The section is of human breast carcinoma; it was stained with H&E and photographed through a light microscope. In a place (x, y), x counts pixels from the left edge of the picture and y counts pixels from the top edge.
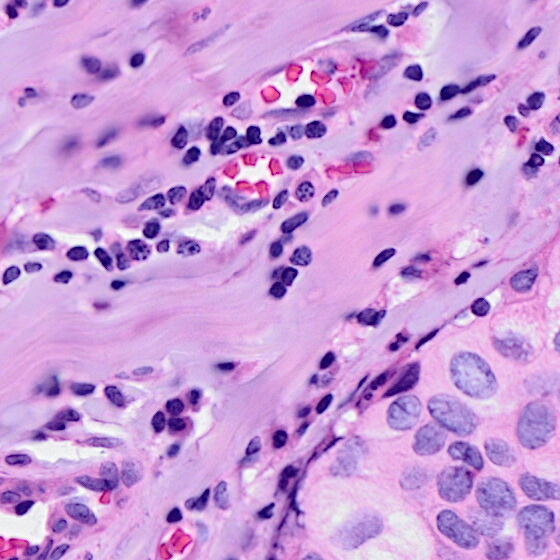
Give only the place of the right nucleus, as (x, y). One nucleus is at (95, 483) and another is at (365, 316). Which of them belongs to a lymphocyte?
(365, 316)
